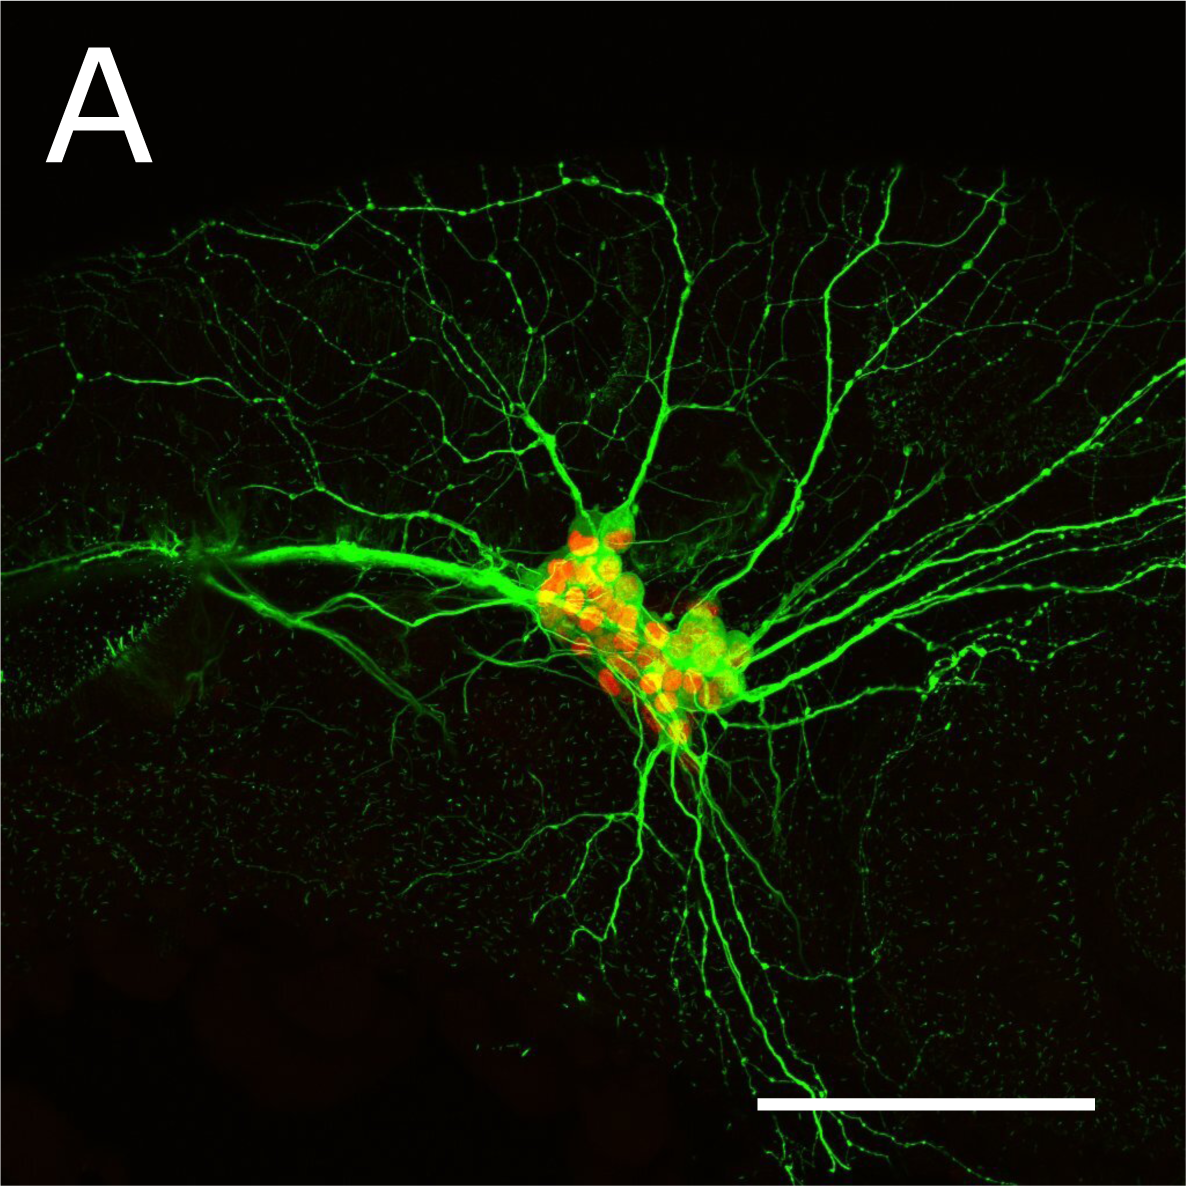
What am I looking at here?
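A cluster of trigeminal neuron cell bodies with red nuclei lies at the centre, each surrounded by green cytoplasm. From the cluster a thick bundle of fibres runs off to one side, while numerous long green neurites radiate in the other directions and branch repeatedly into fine, beaded endings spread over a wide area.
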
